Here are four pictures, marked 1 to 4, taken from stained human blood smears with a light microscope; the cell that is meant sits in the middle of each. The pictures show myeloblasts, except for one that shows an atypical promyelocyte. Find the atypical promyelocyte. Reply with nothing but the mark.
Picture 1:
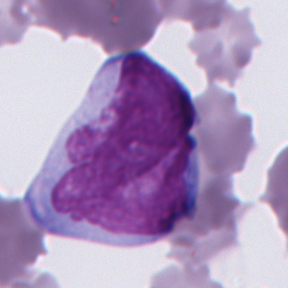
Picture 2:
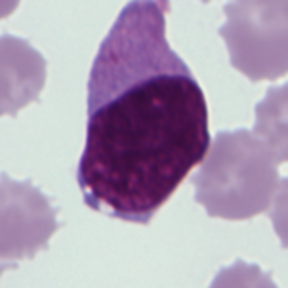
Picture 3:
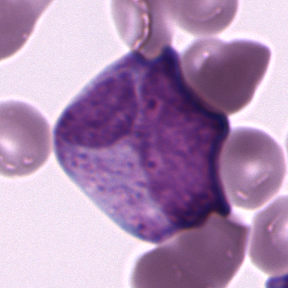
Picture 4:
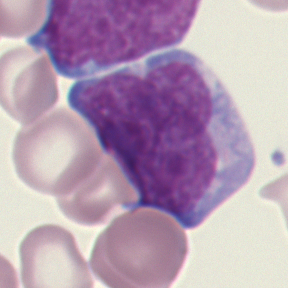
3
